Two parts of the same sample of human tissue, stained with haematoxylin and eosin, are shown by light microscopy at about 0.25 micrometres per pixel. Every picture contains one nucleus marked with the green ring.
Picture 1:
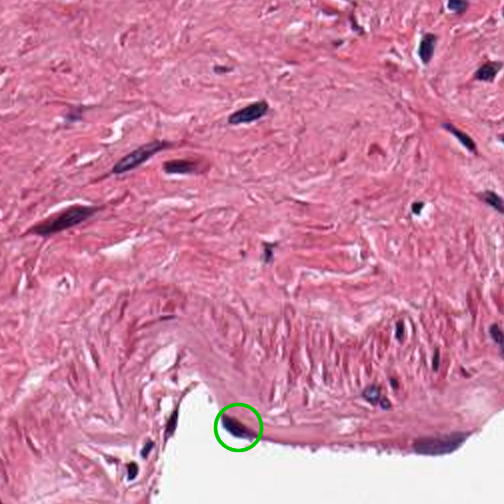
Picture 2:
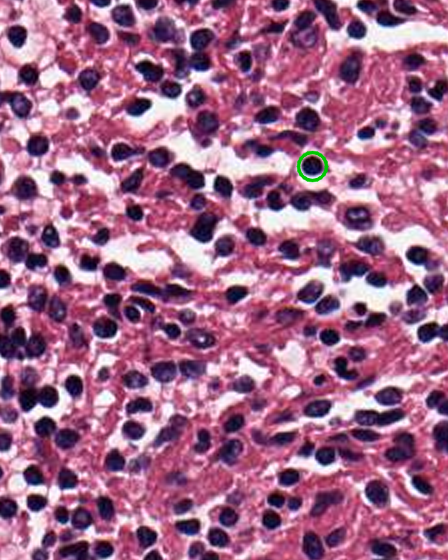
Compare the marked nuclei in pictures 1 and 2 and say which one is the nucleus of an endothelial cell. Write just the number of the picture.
1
